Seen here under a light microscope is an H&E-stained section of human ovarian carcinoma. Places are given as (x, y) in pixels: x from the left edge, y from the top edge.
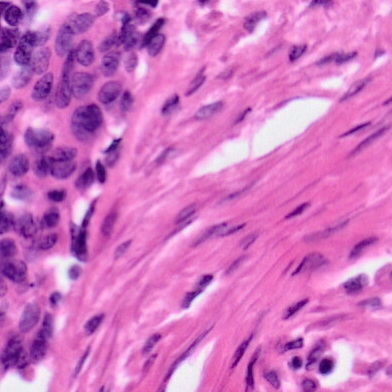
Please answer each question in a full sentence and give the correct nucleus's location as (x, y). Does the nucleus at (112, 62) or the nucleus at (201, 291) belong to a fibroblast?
Among the two nuclei, the one lying at (201, 291) is part of a fibroblast.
